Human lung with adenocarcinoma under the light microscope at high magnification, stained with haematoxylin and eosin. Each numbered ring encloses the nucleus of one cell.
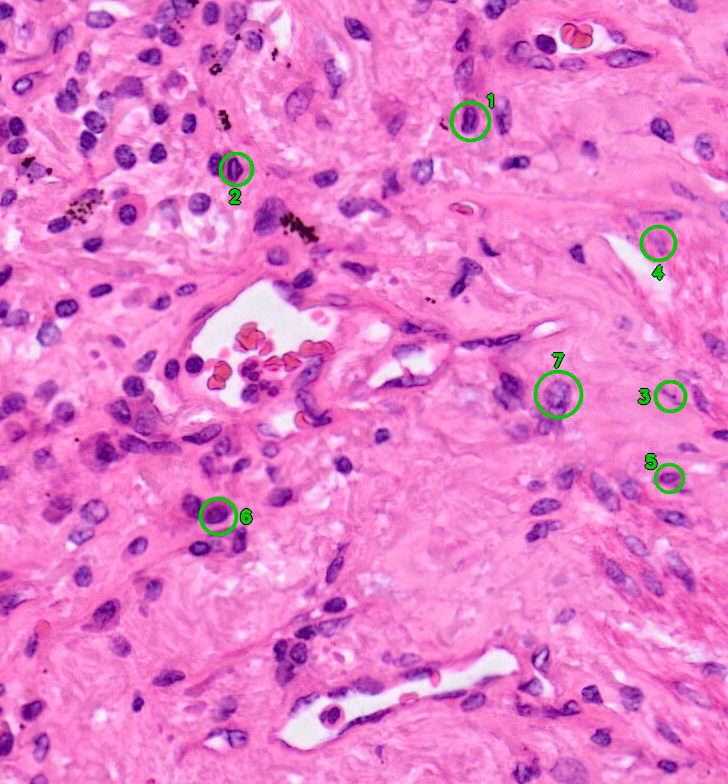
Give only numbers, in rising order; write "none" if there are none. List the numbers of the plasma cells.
1, 2, 6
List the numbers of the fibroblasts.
3, 7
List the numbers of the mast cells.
5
